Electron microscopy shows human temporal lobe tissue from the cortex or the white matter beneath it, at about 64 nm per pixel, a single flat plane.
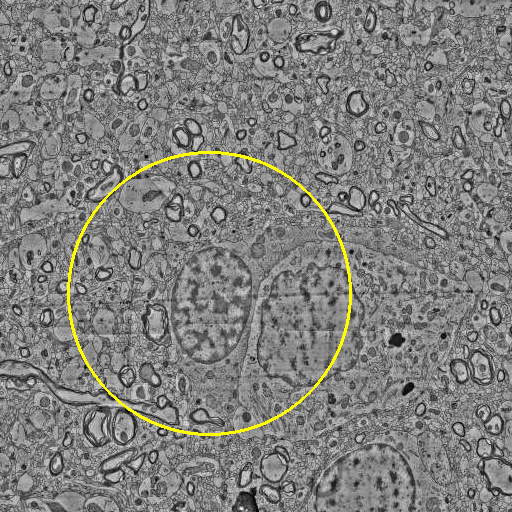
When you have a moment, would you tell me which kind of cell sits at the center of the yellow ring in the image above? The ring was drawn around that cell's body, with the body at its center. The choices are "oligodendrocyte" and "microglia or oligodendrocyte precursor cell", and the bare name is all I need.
oligodendrocyte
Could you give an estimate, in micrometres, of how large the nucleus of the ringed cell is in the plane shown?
Approximately 7 micrometres long and 5 micrometres wide, in this plane.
